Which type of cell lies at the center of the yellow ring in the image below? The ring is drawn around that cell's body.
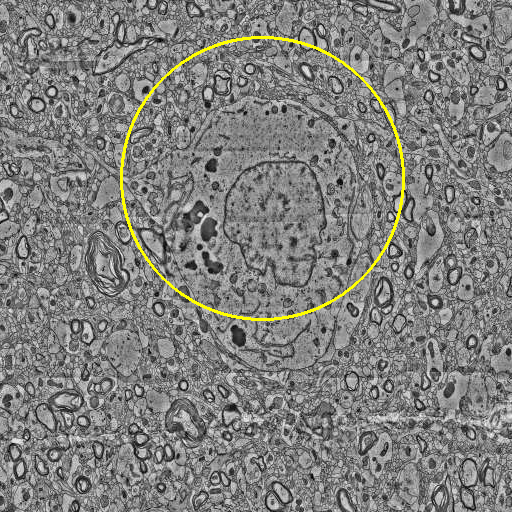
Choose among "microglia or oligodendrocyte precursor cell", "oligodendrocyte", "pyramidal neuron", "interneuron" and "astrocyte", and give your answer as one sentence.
The cell body at the center belongs to a pyramidal neuron.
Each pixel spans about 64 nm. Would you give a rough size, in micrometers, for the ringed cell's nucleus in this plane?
The ringed cell's nucleus is about 8 micrometres long and 7 micrometres wide in this plane.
